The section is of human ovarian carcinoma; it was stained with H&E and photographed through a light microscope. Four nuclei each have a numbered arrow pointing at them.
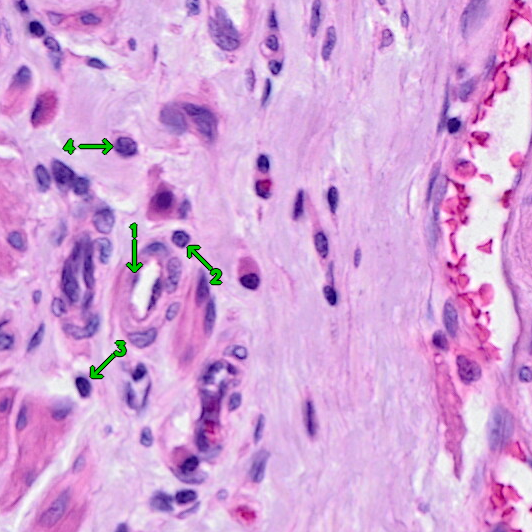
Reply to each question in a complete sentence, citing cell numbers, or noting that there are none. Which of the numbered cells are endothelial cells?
Of the numbered cells, only cell 1 is an endothelial cell.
